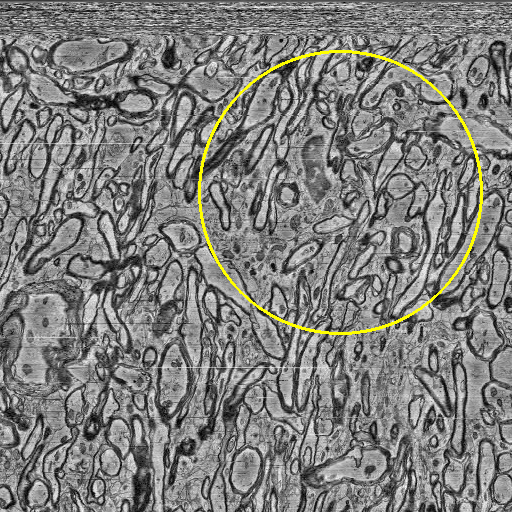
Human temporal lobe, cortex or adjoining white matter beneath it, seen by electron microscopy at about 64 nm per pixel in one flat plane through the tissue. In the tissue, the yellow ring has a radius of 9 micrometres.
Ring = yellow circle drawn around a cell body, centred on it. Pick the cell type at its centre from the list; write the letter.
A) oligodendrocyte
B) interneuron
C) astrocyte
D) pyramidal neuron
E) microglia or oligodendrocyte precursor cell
E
